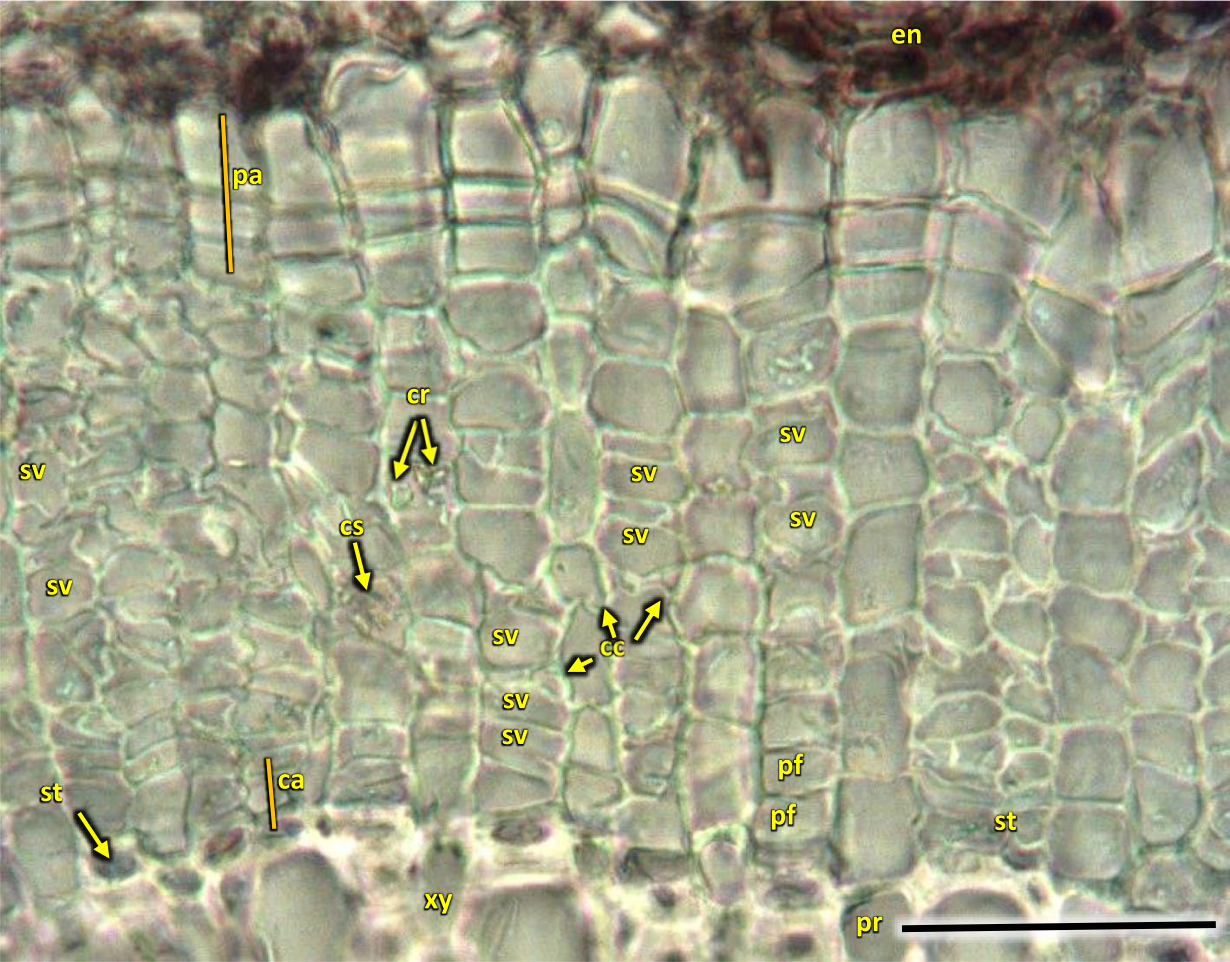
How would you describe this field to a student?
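Thin-walled, roughly rectangular to polygonal cells lie in regular radial files running from the bottom towards the top. Near the bottom there is a narrow band of small, flattened cells, and below it lie larger, wider cells. Along the top edge runs a continuous cell layer with dark reddish-brown contents, and beneath it the cells are elongated and stacked in neat files.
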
